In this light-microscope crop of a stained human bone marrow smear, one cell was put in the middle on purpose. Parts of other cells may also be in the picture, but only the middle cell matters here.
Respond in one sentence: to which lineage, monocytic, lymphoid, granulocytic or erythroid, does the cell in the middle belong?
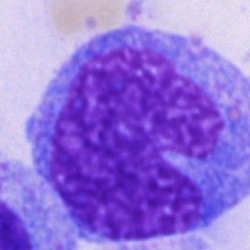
The centered cell is one of the monocytic lineage.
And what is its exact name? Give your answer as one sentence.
The center cell of this crop is a monocyte.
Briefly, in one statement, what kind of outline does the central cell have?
Expected answer: a smooth cell outline without projections of any sort.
